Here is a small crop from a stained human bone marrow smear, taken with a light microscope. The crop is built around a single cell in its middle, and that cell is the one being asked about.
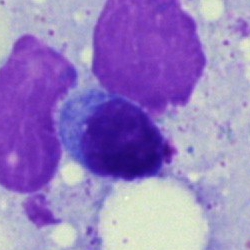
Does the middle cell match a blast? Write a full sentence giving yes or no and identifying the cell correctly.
No, the central cell is not a blast; it is a lymphocyte instead.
